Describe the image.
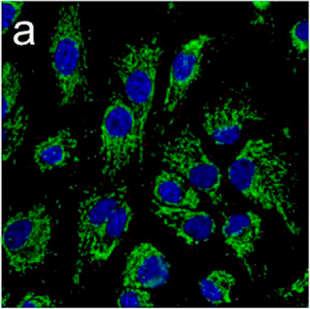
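Cultured cells that are flattened and spread, many elongated or spindle-shaped, each with a single oval blue-stained nucleus. A green network of threads and granules fills the cytoplasm around each nucleus and reaches far out toward the cell edges and into the elongated ends of the cells.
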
